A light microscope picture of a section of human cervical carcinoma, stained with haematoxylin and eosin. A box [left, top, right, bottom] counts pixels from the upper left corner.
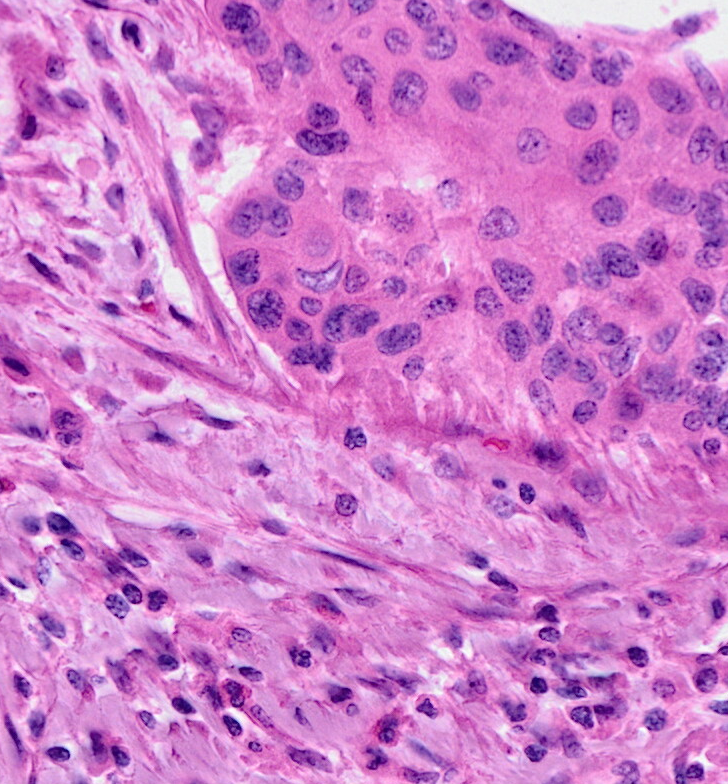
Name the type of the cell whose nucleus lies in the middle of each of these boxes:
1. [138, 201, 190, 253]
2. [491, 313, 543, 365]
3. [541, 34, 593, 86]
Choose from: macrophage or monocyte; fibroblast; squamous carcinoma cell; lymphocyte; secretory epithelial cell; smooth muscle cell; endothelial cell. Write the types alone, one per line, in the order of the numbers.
fibroblast
squamous carcinoma cell
squamous carcinoma cell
